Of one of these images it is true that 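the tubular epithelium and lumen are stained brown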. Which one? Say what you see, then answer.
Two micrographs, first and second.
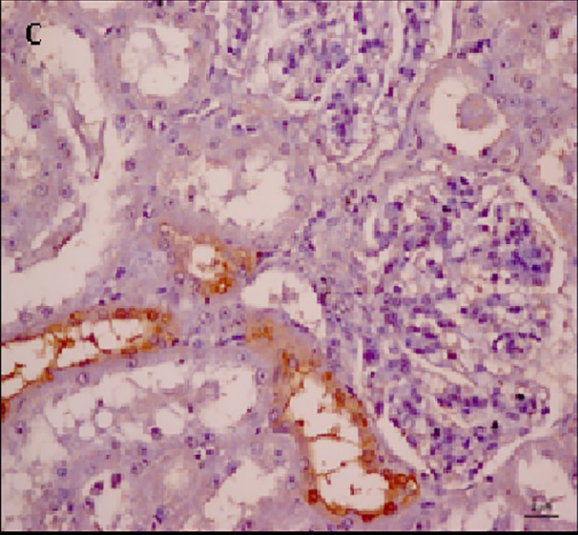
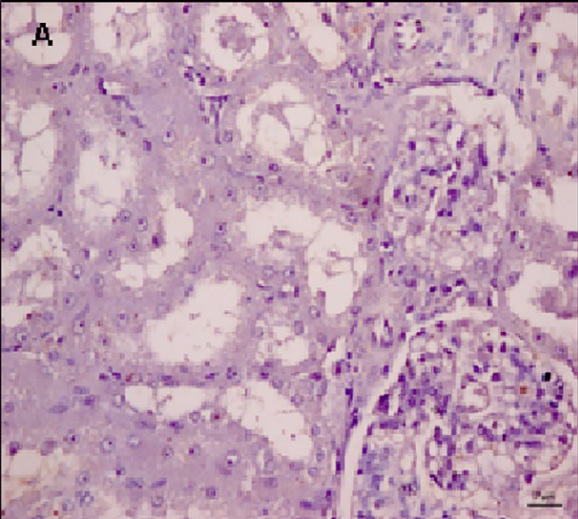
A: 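First image: several tubules at lower left have brown-stained lining cells and brown material in their lumens. Second image: tubules and glomeruli show only purple-blue counterstain, with no brown. On this evidence: the first image.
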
